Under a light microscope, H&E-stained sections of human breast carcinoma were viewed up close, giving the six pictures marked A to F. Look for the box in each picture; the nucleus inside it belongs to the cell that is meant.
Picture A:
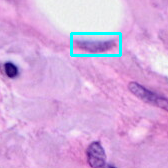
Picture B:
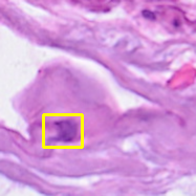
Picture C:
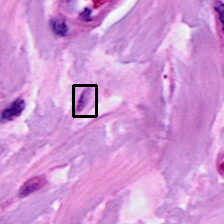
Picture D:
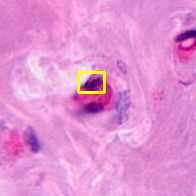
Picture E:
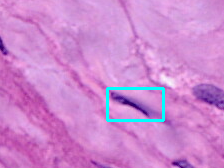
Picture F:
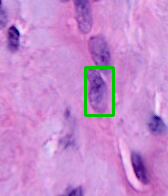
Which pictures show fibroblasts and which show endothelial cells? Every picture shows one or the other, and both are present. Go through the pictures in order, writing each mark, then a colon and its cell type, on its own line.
A: fibroblast
B: fibroblast
C: fibroblast
D: endothelial cell
E: fibroblast
F: endothelial cell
